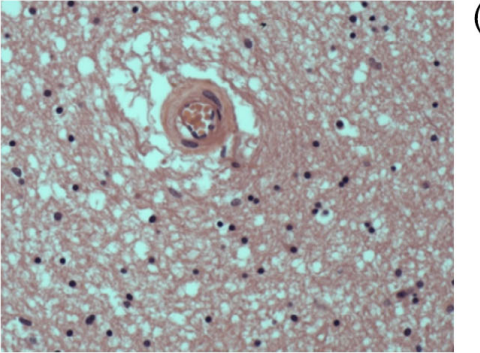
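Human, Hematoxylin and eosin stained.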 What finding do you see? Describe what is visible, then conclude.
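The central arteriole has a thickened pink wall relative to its small lumen. The lumen contains red blood cells. A clear perivascular space surrounds the vessel. On this evidence: arteriolosclerosis.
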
